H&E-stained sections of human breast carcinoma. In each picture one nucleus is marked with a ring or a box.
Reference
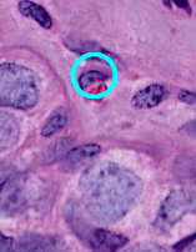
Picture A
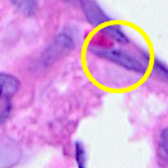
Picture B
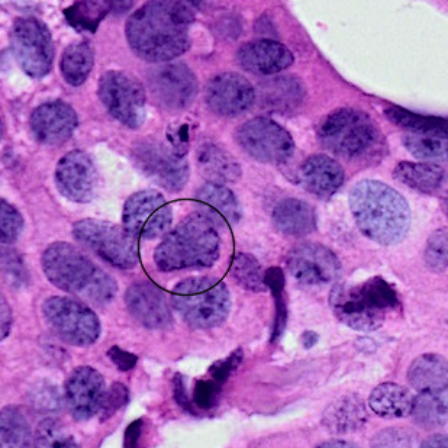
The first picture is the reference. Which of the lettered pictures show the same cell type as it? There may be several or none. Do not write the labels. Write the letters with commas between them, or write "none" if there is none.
A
